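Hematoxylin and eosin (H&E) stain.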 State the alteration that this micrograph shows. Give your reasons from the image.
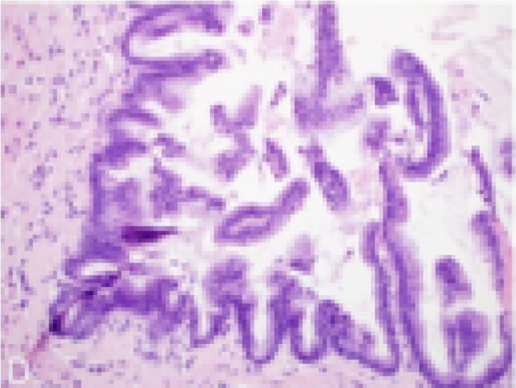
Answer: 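The epithelium forms branching, folded, papillary fronds. Epithelial strips project into a lumen rather than forming a flat single layer. On this evidence: Focal complex architectural changes.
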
